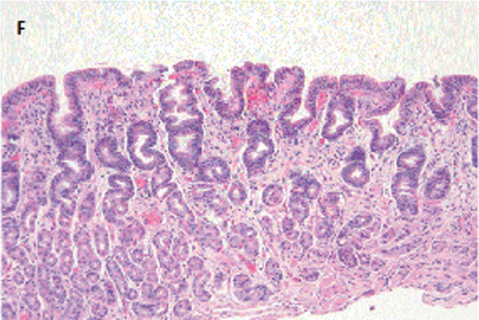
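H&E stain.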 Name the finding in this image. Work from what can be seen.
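Elongated, tortuous pits extend down from the surface. The surface epithelium shows little pale mucin. The answer: corkscrewing of gastric pits.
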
